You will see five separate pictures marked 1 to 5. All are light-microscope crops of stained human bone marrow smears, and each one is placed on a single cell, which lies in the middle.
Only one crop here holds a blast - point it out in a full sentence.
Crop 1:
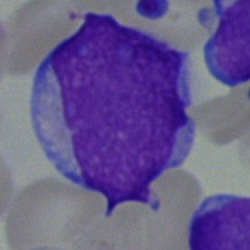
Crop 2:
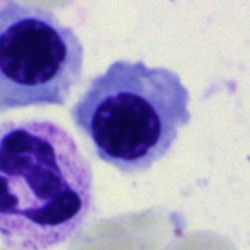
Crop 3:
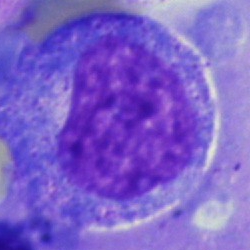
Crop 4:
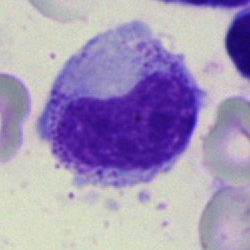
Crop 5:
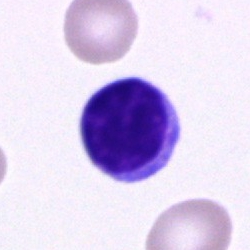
Within this set, crop 1 is the one with a blast at its center.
